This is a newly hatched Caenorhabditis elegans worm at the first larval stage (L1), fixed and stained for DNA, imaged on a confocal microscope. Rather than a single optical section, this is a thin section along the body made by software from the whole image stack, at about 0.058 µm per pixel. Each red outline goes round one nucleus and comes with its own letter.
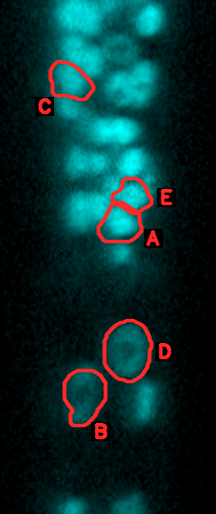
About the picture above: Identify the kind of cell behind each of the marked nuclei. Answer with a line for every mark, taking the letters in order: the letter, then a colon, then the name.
A: neuron
B: intestinal cell
C: neuron
D: intestinal cell
E: neuron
